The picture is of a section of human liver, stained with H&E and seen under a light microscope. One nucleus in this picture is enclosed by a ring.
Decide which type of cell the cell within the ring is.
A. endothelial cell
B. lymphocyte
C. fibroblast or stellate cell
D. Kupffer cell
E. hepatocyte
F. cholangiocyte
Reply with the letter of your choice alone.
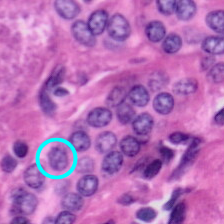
F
